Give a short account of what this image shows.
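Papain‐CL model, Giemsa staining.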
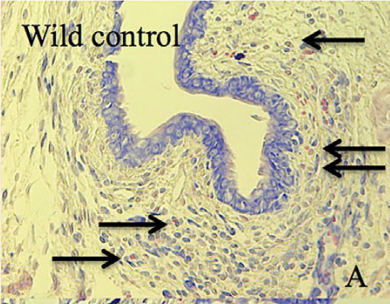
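A folded epithelium of closely packed cuboidal to columnar cells with blue-stained nuclei lines an open lumen, and beneath it lies loose connective tissue with many scattered nuclei. Among these, small round cells with pink-red cytoplasm are dispersed in the tissue around the epithelium. These pink-red cells are infiltrating eosinophils.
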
